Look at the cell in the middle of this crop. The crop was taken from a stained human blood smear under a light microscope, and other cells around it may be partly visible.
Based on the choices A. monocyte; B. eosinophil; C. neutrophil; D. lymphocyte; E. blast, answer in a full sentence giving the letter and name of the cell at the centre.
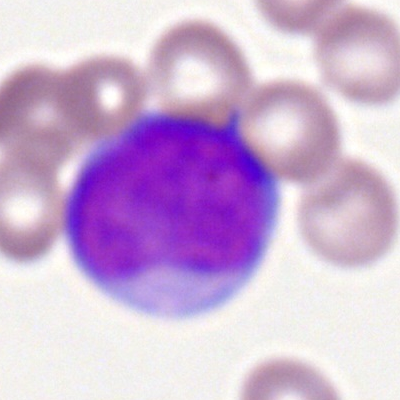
The cell centered in the crop is a blast, making option E the correct pick.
